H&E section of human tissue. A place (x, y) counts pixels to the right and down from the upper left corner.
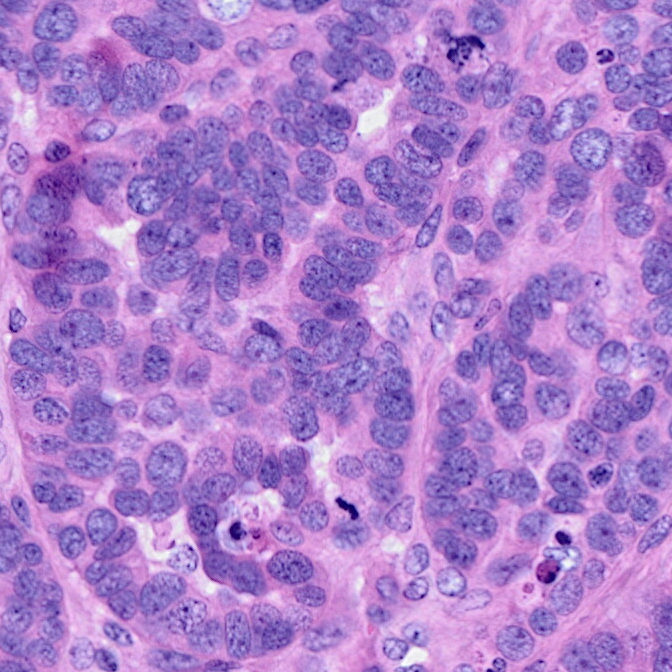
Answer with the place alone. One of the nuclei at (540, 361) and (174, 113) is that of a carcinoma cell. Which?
(540, 361)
